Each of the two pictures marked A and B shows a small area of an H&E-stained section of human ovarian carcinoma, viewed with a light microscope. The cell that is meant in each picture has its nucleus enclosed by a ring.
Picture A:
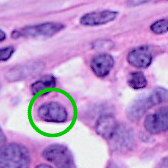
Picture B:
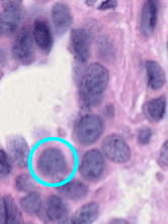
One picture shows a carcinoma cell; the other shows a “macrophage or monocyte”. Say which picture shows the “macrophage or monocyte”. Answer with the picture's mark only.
A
